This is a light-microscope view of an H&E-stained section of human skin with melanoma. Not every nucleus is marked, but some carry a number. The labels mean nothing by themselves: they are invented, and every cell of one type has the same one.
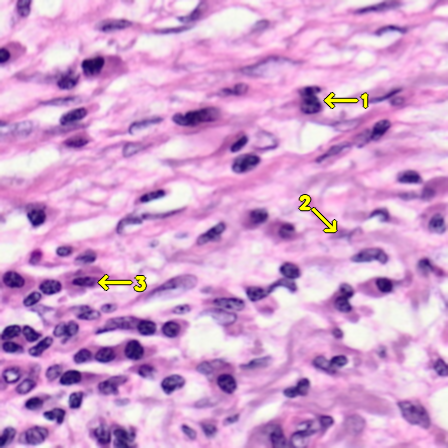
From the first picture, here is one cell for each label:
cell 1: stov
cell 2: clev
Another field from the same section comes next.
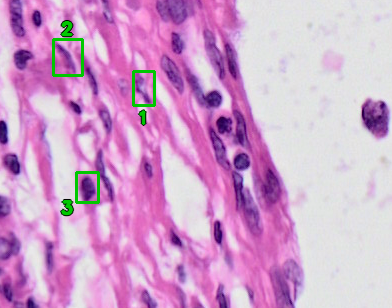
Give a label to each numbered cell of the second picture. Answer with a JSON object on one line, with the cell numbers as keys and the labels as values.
{"1": "clev", "2": "clev", "3": "stov"}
